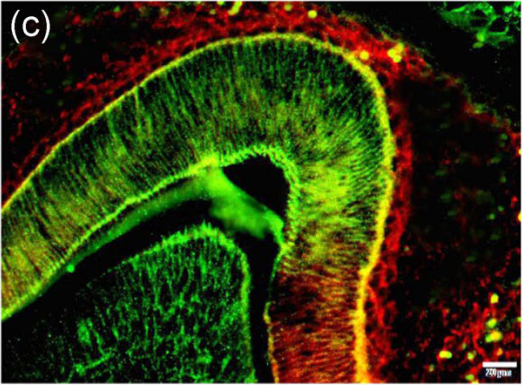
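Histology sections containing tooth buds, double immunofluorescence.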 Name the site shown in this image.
Cusp region.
